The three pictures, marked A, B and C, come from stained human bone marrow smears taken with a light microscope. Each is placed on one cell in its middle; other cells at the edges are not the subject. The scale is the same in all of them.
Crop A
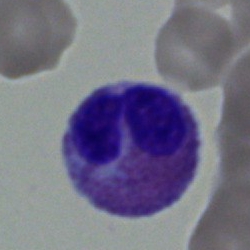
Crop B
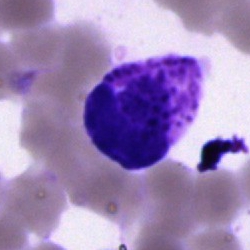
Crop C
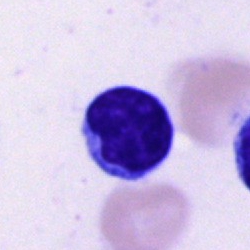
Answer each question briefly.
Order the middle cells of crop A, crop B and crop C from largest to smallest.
A, B, C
